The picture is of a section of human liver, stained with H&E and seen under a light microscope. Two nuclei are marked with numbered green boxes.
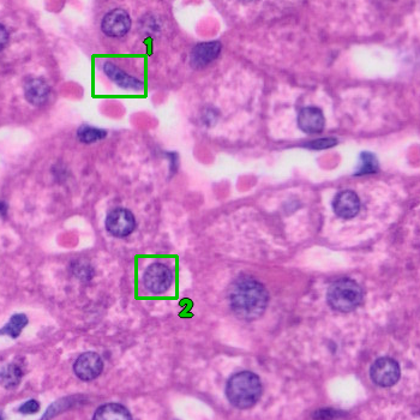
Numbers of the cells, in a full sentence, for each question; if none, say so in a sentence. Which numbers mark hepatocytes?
Only the cell with number 2 is a hepatocyte.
